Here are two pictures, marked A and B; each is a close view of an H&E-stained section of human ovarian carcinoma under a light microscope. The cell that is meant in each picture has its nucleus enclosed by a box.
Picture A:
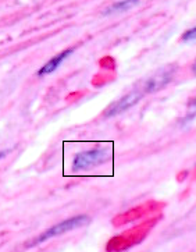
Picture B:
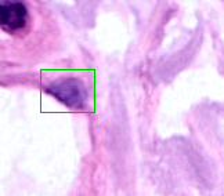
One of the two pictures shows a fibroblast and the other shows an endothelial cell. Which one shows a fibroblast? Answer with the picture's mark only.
A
